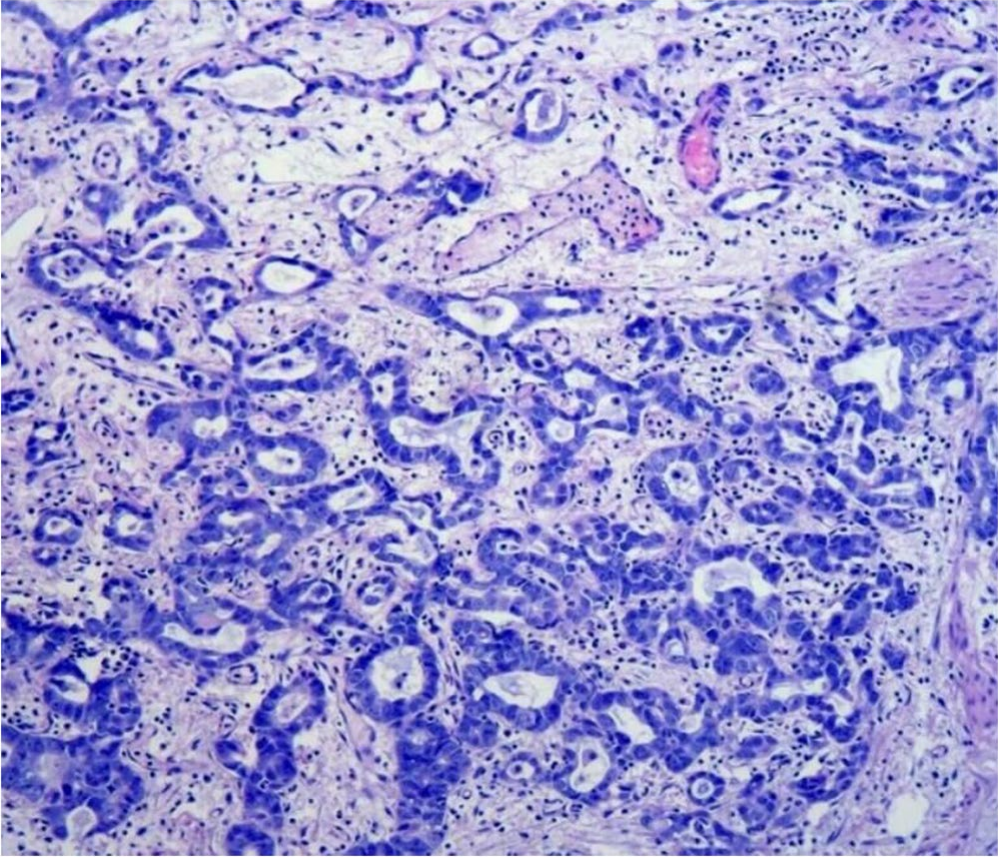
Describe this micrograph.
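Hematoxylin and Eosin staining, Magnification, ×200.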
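Carcinoma with glandular differentiation: crowded tumor cells form many tubular, gland-like spaces with open lumens throughout the field. The lining cells are columnar to cuboidal and have enlarged, dark purple, crowded nuclei, with some stratification. Some lumens hold pale pink material and loose cells. The glands lie in a loose, pale, edematous stroma that contains scattered small inflammatory cells and a few thin vessels, one filled with red blood cells.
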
